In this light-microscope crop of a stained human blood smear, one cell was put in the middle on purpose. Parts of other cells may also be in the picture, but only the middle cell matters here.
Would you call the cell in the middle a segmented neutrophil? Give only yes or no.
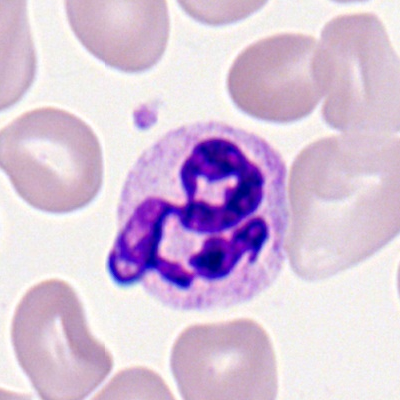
yes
